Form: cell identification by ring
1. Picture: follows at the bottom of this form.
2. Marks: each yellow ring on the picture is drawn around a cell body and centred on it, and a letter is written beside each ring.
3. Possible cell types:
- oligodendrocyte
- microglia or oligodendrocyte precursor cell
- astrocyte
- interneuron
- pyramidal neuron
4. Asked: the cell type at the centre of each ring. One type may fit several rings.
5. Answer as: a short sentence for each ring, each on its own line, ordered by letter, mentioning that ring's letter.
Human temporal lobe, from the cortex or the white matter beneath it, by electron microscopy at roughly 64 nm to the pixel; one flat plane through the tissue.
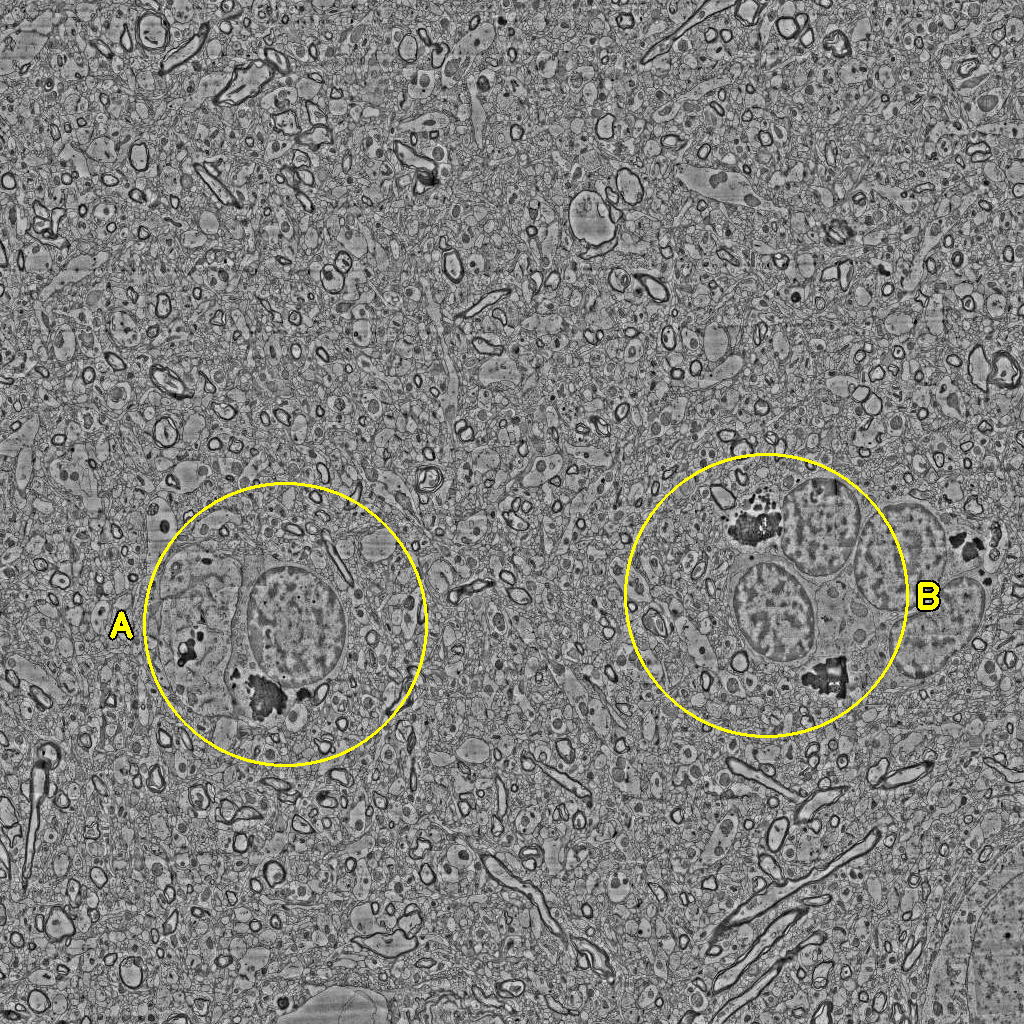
The cell at ring A's centre is an oligodendrocyte.
The cell at ring B's centre is an oligodendrocyte.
